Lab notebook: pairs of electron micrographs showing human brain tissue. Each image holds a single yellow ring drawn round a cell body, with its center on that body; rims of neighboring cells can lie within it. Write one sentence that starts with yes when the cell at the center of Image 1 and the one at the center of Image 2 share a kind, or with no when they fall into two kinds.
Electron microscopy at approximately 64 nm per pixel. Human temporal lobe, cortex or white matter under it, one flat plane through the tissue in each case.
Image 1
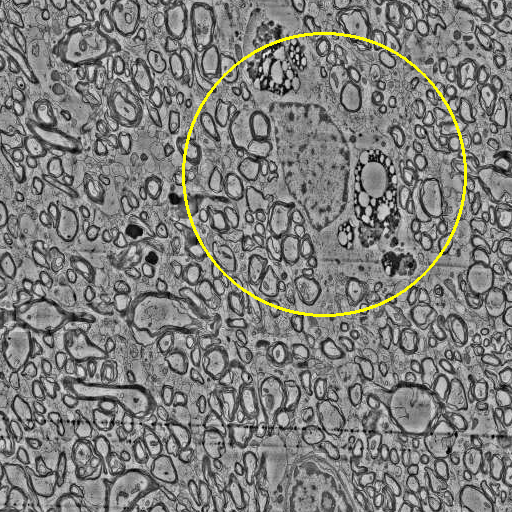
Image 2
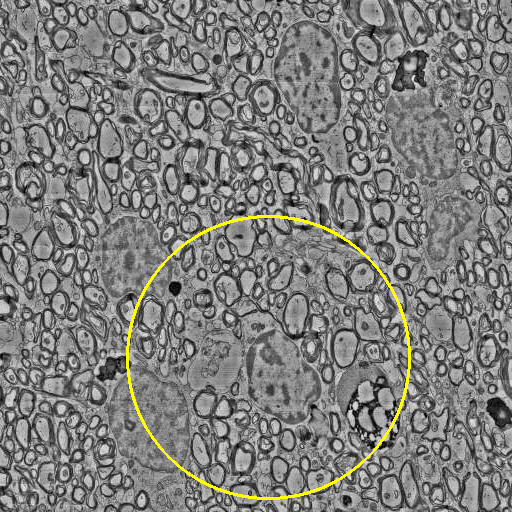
No, the centered cell in Image 1 and the centered cell in Image 2 are of two kinds.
